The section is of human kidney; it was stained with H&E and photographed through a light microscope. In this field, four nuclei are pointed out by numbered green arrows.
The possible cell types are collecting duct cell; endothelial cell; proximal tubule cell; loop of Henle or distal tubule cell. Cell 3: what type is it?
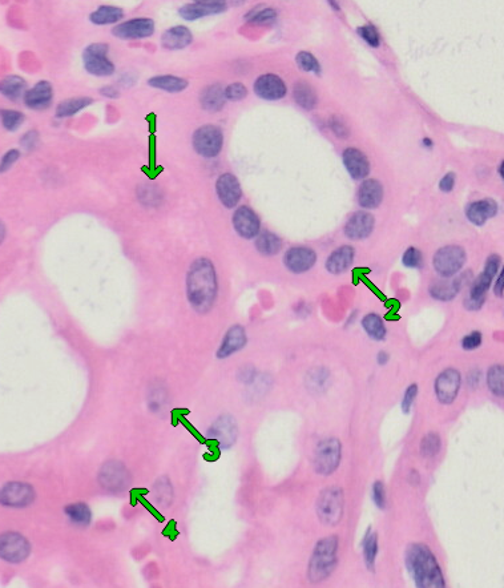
proximal tubule cell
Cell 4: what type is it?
proximal tubule cell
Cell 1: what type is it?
proximal tubule cell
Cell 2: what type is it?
collecting duct cell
